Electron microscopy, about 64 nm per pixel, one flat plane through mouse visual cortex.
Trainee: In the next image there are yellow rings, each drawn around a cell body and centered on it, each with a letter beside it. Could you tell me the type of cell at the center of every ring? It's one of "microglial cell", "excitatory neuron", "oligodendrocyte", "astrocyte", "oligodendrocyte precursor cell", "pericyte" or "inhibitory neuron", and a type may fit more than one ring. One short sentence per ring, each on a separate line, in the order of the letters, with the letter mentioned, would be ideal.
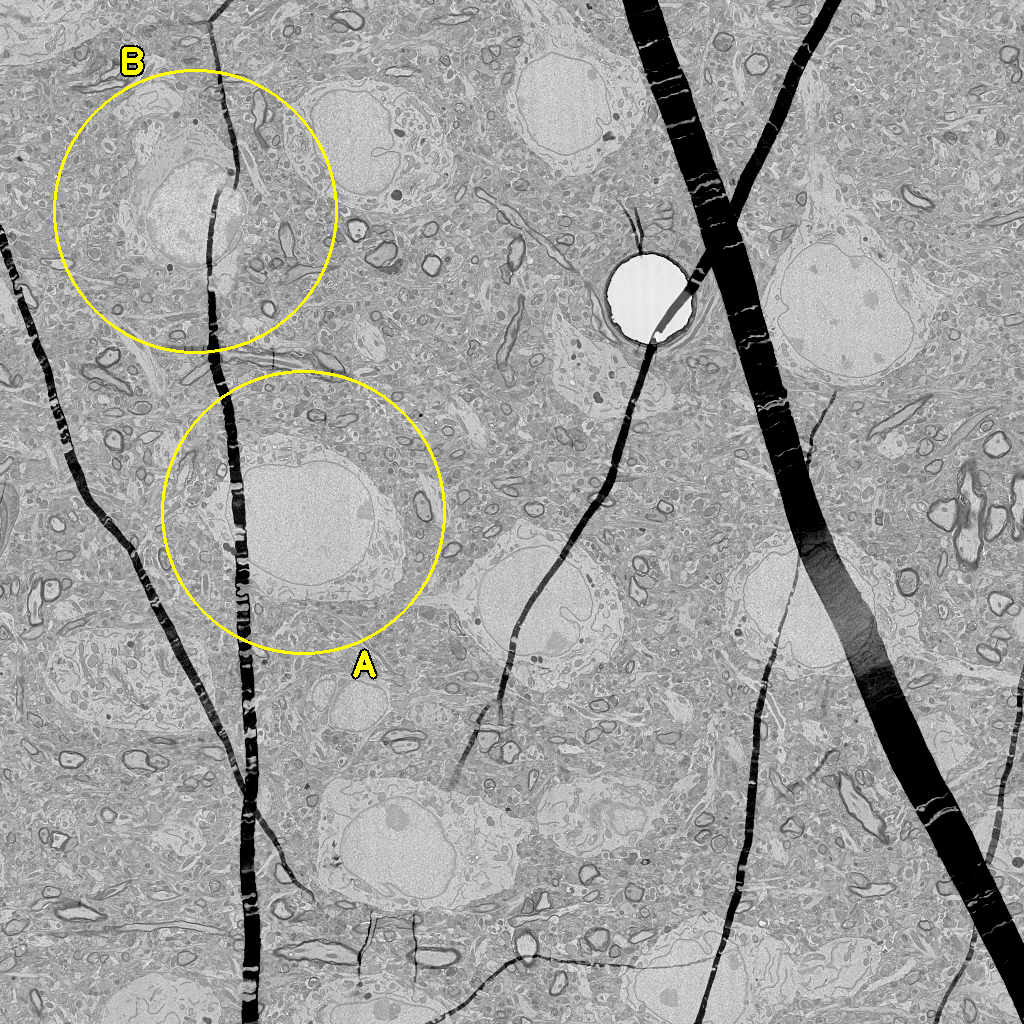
What ring A is centered on is an excitatory neuron.
What ring B is centered on is an oligodendrocyte.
